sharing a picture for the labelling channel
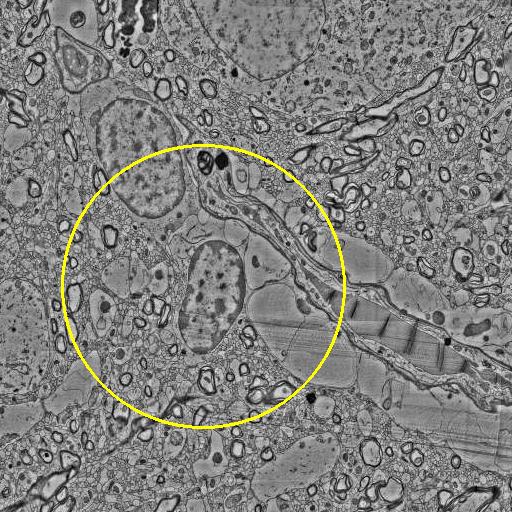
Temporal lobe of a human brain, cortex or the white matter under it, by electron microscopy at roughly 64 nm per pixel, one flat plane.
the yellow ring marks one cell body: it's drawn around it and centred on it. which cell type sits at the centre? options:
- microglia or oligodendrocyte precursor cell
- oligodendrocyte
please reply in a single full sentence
In the picture, the cell at the ring's centre is a microglial cell or oligodendrocyte precursor cell, going by the list.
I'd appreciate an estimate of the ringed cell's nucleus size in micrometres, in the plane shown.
Roughly 7 micrometres long and 4 micrometres wide; in this plane the nucleus is clearly longer than it is wide.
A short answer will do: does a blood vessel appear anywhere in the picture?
Yes, a vessel appears in the picture.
